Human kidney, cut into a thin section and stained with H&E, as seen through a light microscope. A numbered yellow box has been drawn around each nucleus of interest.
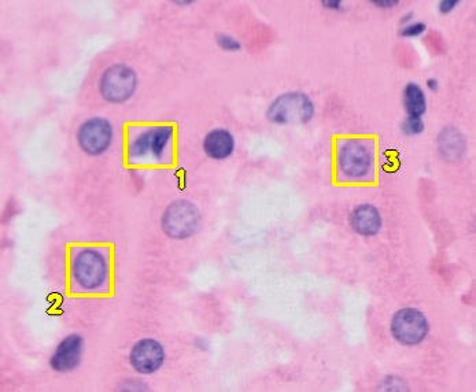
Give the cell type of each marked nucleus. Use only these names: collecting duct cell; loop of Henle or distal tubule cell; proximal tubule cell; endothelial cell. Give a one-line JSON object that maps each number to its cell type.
{"1": "endothelial cell", "2": "proximal tubule cell", "3": "proximal tubule cell"}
